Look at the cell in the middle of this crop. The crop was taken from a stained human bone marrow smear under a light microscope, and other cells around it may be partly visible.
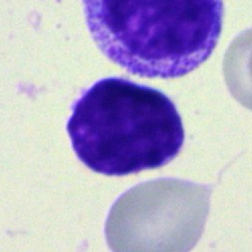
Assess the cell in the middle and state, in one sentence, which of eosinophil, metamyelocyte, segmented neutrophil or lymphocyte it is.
Answering briefly, the cell in the middle is a lymphocyte.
